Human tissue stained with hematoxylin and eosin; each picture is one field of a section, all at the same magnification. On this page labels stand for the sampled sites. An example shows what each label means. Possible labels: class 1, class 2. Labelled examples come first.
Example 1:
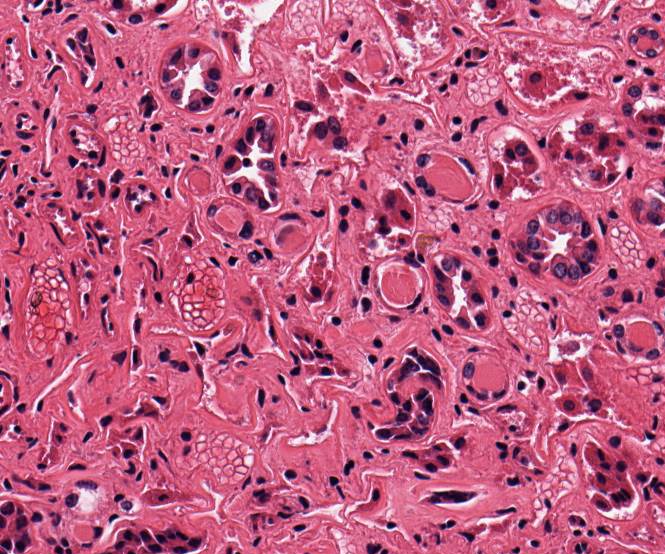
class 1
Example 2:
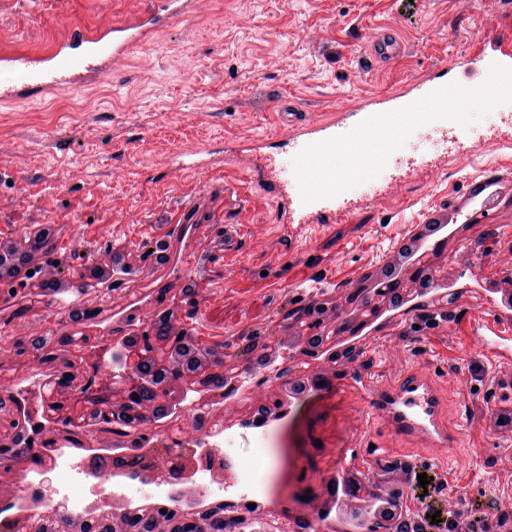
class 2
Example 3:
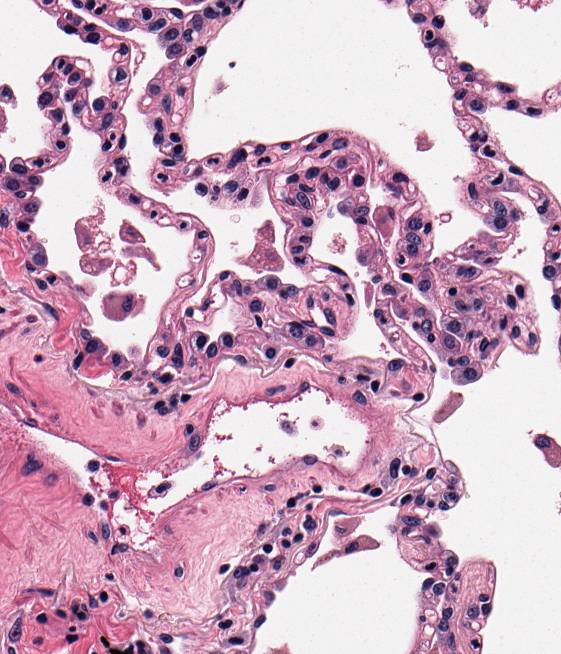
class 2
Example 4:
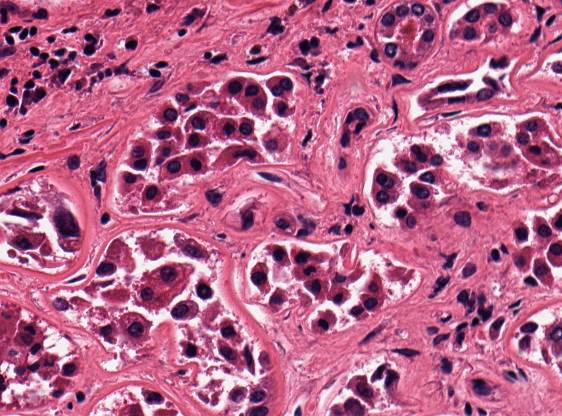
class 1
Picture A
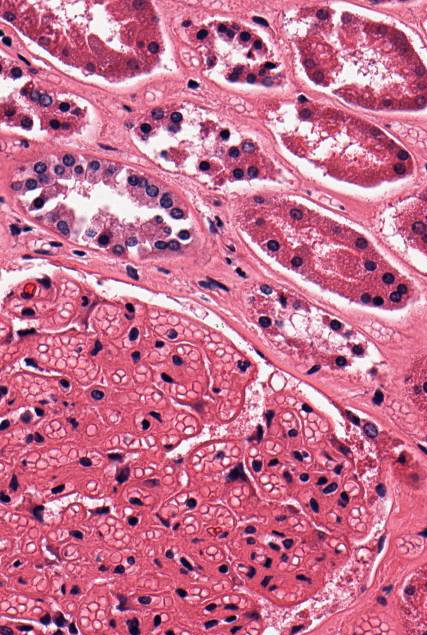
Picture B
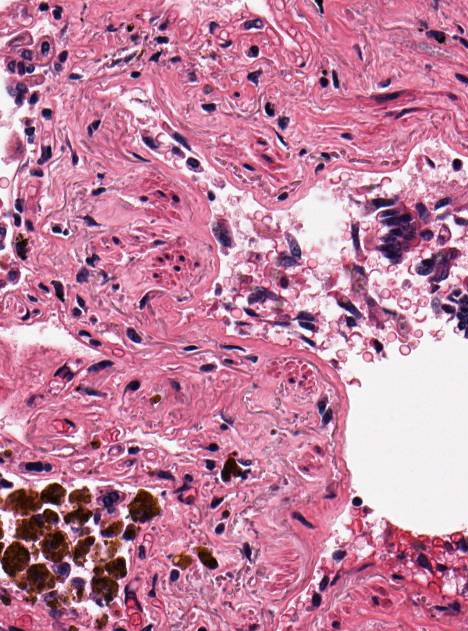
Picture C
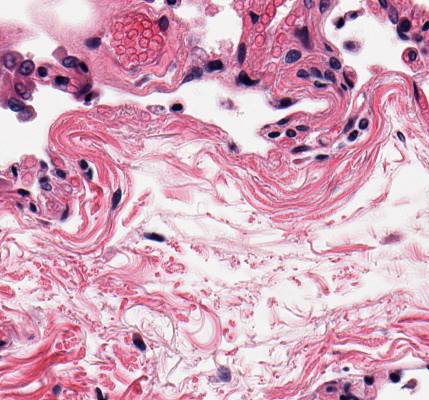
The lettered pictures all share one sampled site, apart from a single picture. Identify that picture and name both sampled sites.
Exception: A, showing class 1. Remaining pictures: class 2.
